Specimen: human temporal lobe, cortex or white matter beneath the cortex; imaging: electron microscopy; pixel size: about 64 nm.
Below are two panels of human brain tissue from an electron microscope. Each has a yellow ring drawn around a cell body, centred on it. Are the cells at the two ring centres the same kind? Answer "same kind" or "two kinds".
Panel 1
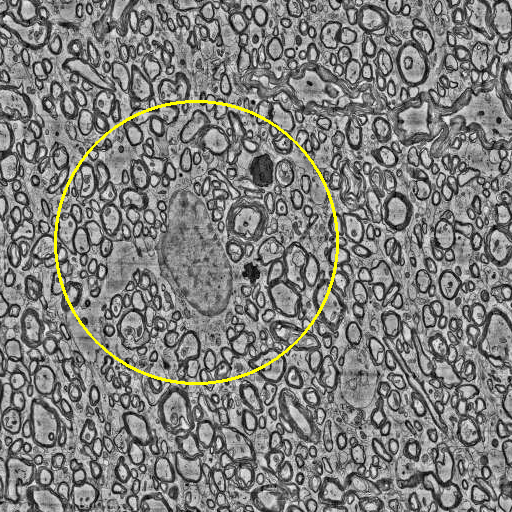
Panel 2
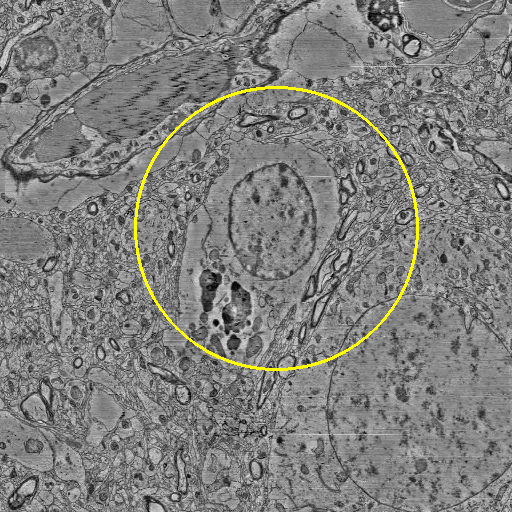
two kinds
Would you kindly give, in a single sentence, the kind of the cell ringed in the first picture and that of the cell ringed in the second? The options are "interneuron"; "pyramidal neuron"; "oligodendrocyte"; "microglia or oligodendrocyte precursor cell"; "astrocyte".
The second cell is an astrocyte, and the first cell is an oligodendrocyte.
